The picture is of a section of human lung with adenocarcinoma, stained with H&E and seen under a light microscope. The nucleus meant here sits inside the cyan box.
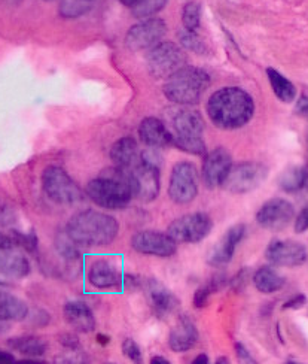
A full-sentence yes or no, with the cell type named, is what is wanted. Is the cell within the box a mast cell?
No, the cell within the box does not represent a mast cell; it represents a ciliated epithelial cell.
